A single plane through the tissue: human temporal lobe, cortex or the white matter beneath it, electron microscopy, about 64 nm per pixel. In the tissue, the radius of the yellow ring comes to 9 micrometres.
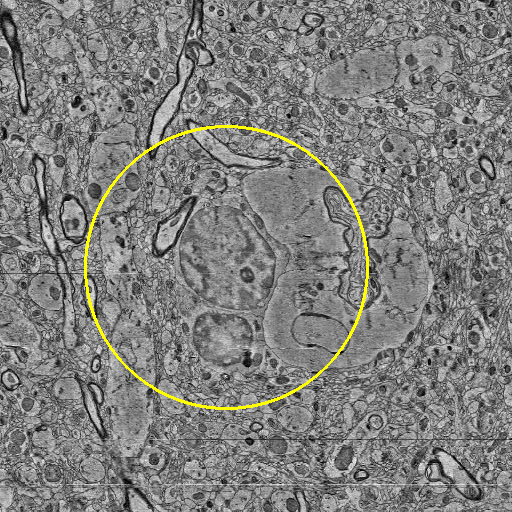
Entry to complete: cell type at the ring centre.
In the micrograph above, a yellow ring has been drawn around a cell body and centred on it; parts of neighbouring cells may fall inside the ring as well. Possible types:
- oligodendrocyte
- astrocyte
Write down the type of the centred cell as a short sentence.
The ring is centred on an oligodendrocyte.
